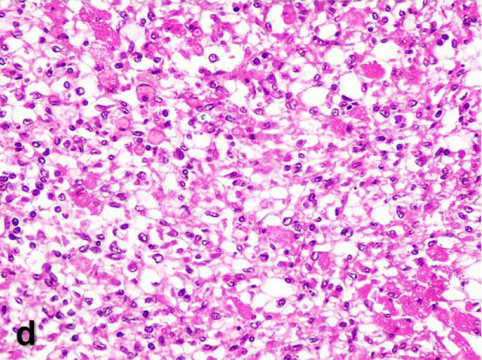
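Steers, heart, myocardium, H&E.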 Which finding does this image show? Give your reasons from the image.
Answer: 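Loss of cardiomyocytes. Most of the field is a loose, pale, open meshwork without intact muscle fibers. Scattered round and oval nuclei lie in the loose tissue. Only a few isolated pink fiber fragments remain.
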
